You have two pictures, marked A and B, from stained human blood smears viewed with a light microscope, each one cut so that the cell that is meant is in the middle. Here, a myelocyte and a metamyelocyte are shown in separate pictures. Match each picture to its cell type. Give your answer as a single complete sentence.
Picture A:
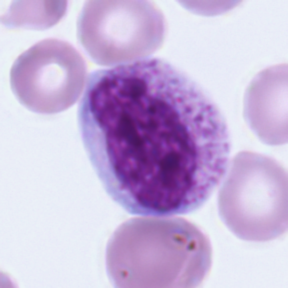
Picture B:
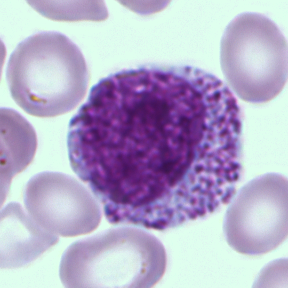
Picture B shows a myelocyte, while picture A shows a metamyelocyte.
